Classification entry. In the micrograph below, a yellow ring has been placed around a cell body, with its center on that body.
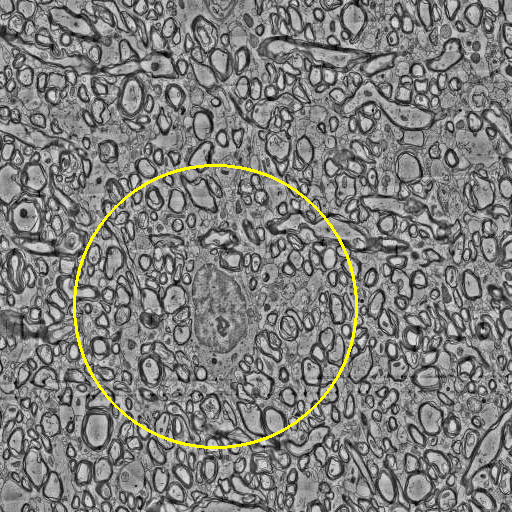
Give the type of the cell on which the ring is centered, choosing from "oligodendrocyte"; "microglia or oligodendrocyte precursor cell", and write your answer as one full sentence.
The cell body at the center of the yellow ring belongs to an oligodendrocyte.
